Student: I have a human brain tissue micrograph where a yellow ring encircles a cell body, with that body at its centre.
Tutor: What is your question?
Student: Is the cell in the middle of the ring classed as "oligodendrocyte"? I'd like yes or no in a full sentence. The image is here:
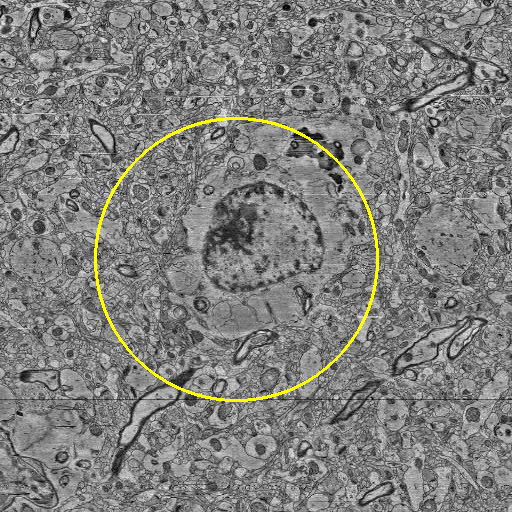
No, the ringed cell in the middle counts as another kind.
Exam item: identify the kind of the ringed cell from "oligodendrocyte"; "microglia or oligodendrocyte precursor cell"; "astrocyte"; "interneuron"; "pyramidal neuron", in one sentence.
At the centre of the ring sits an astrocyte.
